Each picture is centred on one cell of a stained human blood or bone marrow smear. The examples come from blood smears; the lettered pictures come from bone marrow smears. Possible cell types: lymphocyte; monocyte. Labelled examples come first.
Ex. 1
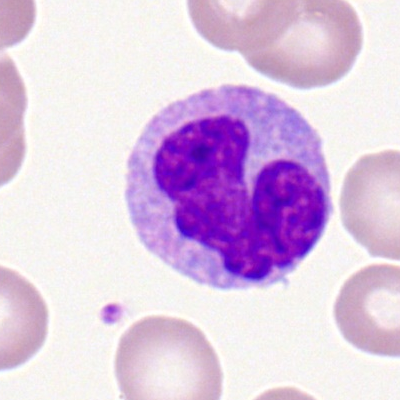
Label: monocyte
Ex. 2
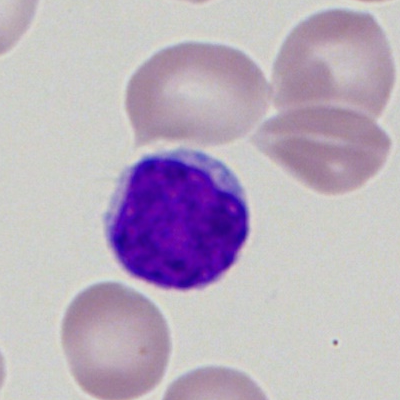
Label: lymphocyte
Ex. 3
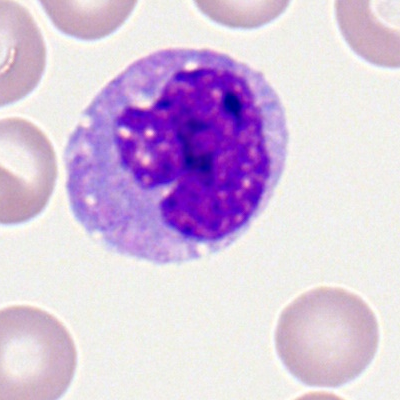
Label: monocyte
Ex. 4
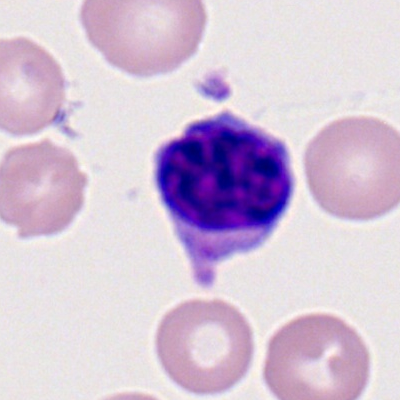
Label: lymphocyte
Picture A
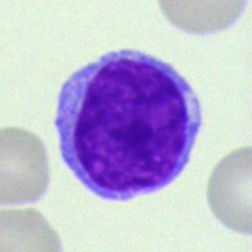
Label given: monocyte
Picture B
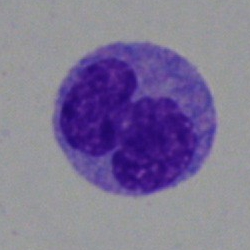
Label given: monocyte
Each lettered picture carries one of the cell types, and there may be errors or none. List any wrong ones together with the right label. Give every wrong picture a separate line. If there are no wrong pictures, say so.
A should be lymphocyte, not monocyte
